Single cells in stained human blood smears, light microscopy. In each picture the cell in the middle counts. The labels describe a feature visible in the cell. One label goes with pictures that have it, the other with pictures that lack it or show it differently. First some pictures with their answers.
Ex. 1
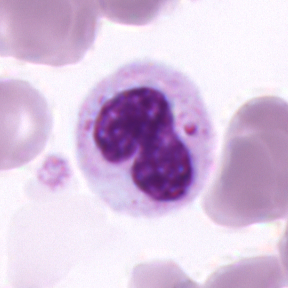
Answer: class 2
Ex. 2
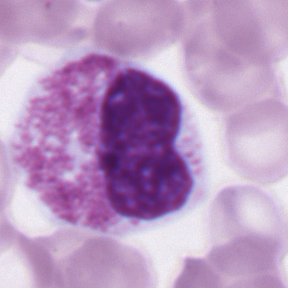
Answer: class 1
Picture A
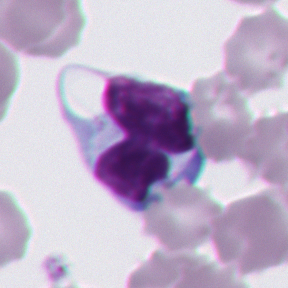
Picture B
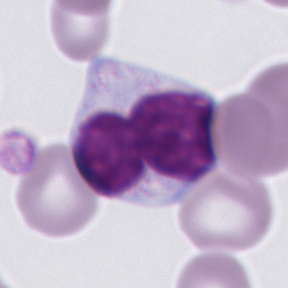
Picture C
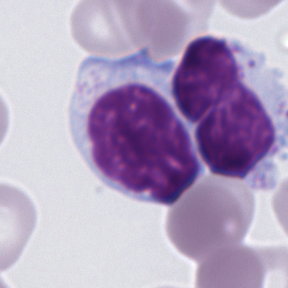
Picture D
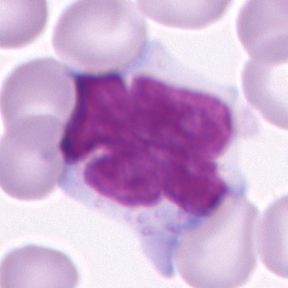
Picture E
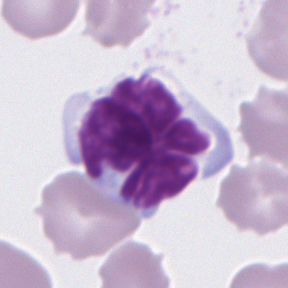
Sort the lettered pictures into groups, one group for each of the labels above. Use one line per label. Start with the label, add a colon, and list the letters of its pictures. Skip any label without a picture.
class 2: A, B, C, D, E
